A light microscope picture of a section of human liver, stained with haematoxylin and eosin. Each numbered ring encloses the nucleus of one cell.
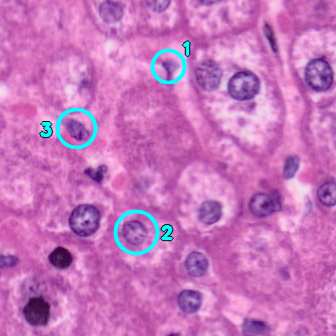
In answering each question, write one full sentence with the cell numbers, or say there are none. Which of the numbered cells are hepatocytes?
Cell 2 is a hepatocyte, which is true of none of the other numbered cells.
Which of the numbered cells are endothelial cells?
Just one numbered cell is an endothelial cell, and that cell is number 1.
